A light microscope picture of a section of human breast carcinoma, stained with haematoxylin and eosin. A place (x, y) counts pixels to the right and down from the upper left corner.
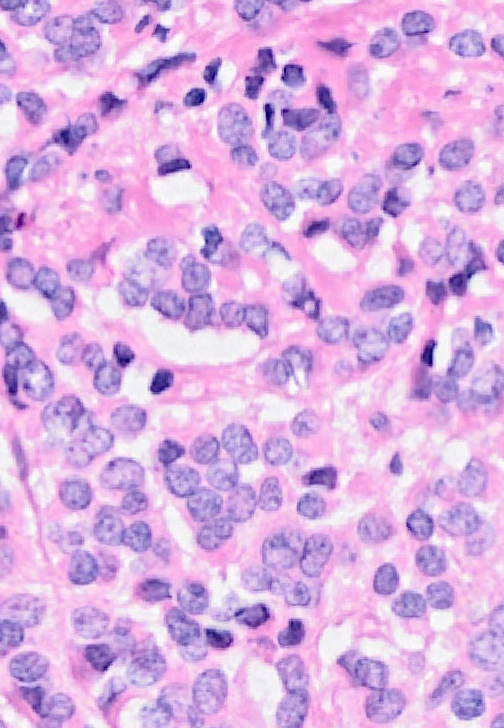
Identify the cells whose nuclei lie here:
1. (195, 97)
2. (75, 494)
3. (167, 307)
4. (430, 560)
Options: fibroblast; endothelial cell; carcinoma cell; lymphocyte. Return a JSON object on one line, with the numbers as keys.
{"1": "lymphocyte", "2": "carcinoma cell", "3": "carcinoma cell", "4": "carcinoma cell"}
